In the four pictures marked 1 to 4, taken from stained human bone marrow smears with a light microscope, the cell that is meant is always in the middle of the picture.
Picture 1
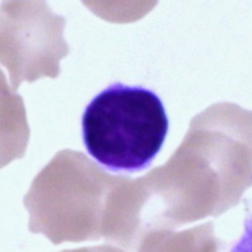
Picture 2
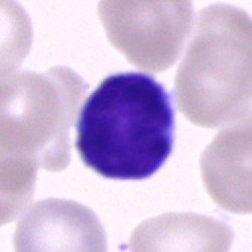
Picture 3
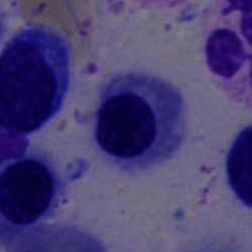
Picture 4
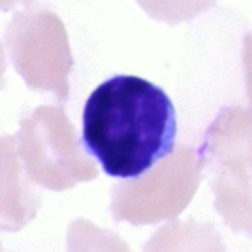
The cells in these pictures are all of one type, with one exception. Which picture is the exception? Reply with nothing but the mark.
3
